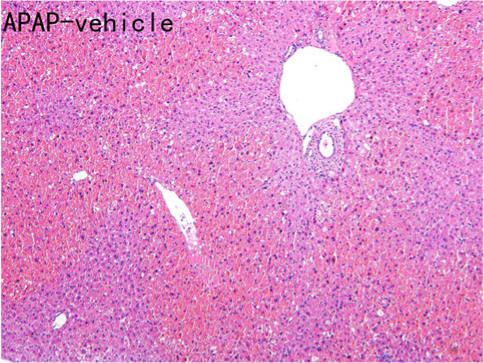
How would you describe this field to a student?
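This is liver tissue, with the parenchyma made of polygonal hepatocytes with round purple nuclei and pink cytoplasm. A large vessel lies near the top with a small vessel and duct set in a thin cuff of connective tissue beside it, and another elongated vessel lumen lies to the left. Broad areas of the parenchyma stain an intense red-pink, contrasting with paler purple-stained zones around the vessels.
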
